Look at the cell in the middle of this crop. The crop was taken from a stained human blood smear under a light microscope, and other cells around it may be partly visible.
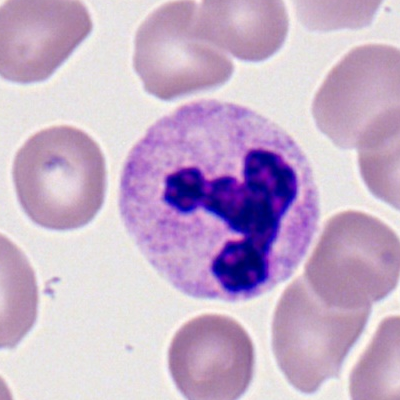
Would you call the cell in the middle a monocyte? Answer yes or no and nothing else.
no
